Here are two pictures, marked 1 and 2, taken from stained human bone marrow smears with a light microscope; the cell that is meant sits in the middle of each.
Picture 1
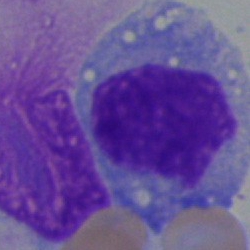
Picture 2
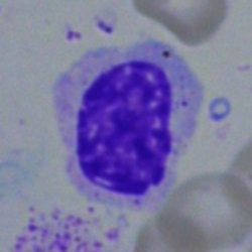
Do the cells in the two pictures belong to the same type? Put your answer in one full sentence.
No, picture 1 shows a blast and picture 2 shows a myelocyte.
